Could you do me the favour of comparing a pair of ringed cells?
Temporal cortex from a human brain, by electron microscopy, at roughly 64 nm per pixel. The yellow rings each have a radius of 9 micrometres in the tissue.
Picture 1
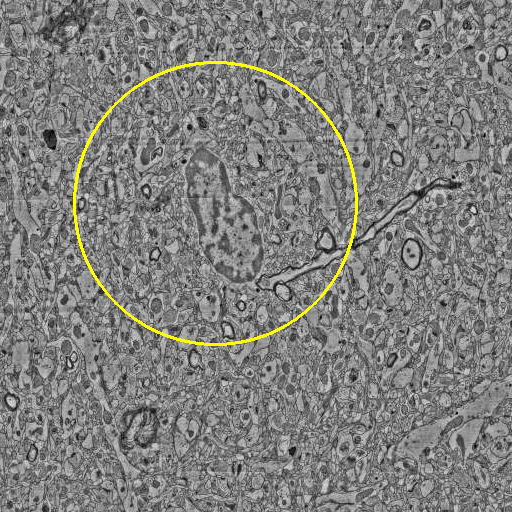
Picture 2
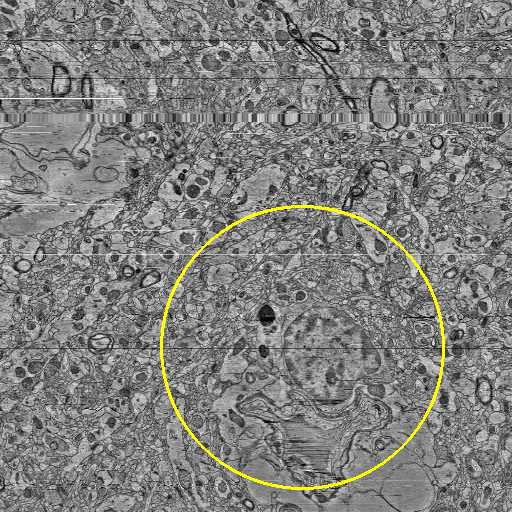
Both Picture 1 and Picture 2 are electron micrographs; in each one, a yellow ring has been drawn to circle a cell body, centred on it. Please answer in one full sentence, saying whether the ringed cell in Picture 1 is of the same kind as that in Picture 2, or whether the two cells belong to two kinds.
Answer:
The ringed cells in Picture 1 and Picture 2 belong to two kinds.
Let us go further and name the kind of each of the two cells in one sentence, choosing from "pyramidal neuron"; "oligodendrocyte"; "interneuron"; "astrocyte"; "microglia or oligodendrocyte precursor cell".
The ring of the first picture is on a microglial cell or oligodendrocyte precursor cell, the ring of the second on an oligodendrocyte.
